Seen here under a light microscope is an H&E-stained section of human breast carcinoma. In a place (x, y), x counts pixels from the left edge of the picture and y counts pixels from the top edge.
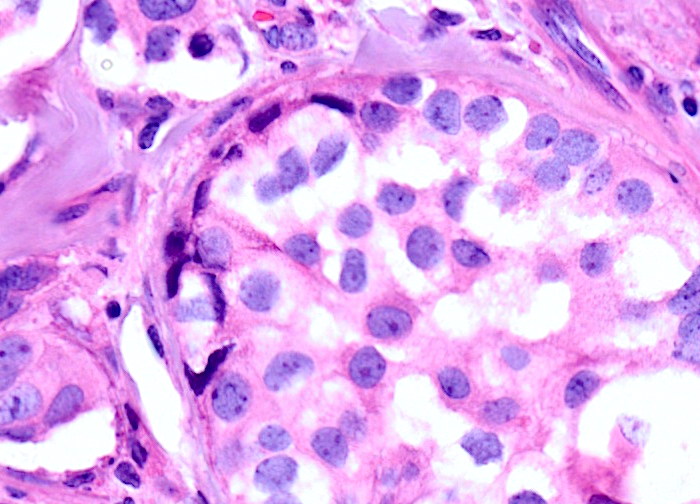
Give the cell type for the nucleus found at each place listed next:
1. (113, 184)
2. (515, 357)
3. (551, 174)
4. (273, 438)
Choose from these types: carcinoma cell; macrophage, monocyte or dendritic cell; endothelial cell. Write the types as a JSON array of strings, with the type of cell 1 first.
["endothelial cell", "carcinoma cell", "carcinoma cell", "carcinoma cell"]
